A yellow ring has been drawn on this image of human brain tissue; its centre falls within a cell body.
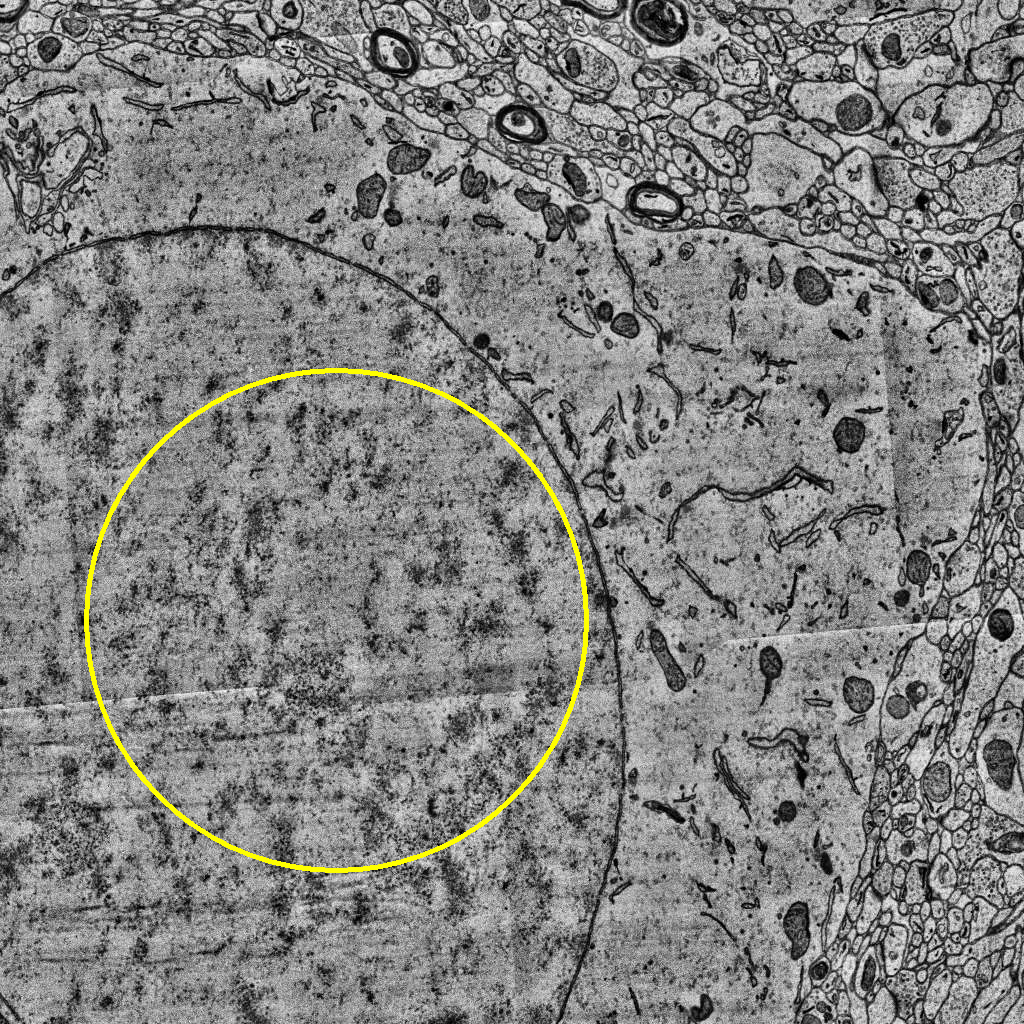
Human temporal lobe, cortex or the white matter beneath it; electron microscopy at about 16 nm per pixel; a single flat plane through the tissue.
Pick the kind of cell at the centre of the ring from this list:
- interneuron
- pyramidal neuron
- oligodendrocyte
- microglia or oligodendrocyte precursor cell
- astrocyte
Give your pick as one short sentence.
The centre of the ring holds a pyramidal neuron.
